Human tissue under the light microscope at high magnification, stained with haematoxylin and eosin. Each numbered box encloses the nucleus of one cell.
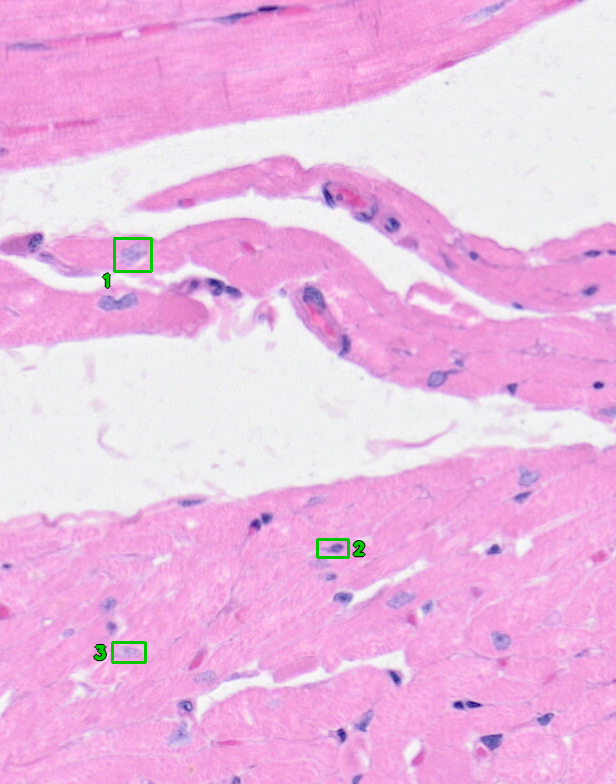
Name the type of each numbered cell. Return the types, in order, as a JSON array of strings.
["cardiomyocyte", "endothelial cell", "cardiomyocyte"]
